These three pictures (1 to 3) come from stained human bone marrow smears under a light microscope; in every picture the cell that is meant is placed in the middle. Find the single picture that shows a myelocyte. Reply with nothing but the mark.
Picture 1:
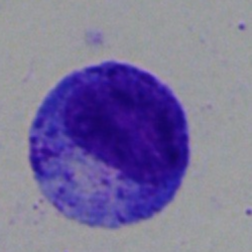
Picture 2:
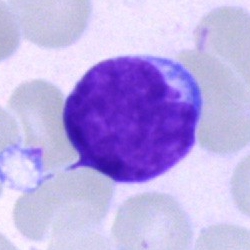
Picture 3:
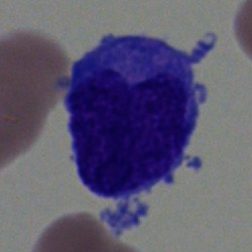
1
